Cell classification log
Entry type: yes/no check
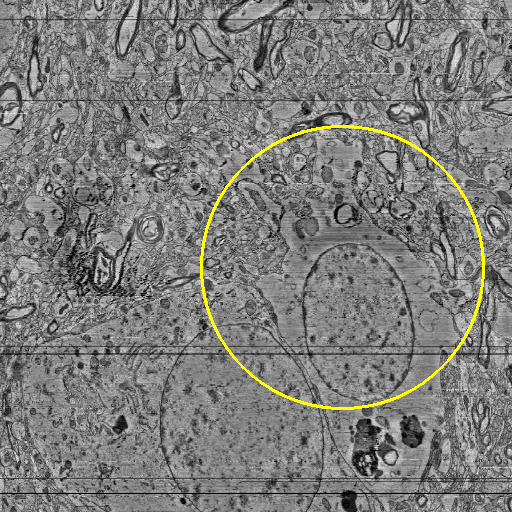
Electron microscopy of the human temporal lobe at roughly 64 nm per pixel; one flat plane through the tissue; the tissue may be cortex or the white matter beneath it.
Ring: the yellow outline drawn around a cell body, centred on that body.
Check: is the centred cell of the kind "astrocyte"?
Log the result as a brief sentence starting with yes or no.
Yes, the cell is of that kind.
